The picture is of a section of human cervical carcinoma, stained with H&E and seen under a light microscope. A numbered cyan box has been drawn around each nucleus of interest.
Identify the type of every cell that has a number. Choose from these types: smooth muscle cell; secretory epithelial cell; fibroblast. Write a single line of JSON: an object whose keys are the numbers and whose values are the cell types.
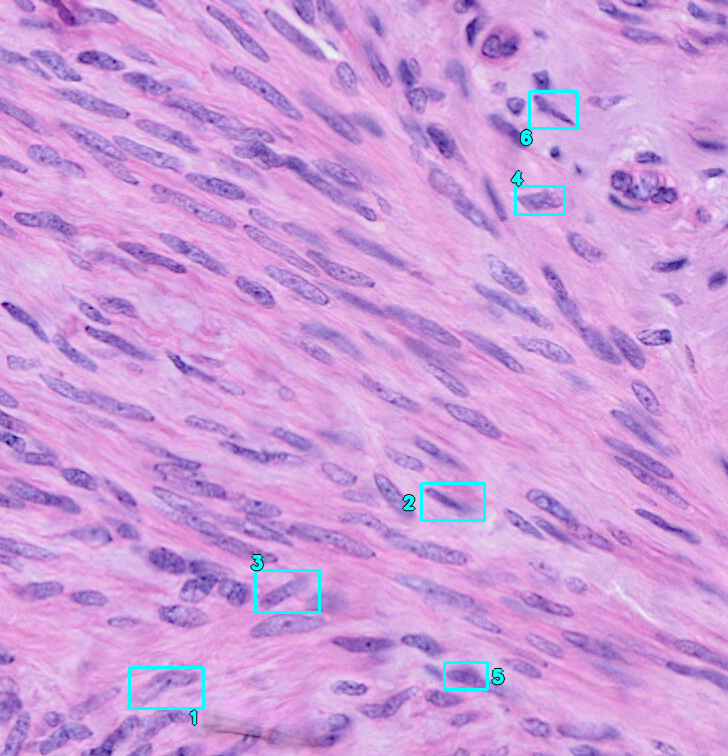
{"1": "smooth muscle cell", "2": "smooth muscle cell", "3": "smooth muscle cell", "4": "fibroblast", "5": "smooth muscle cell", "6": "fibroblast"}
